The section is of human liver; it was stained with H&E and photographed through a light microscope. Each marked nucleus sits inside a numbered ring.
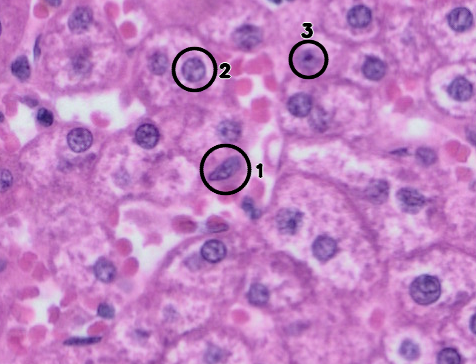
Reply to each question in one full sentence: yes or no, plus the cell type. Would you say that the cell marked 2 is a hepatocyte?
Yes, the cell tagged with the number 2 is a hepatocyte.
